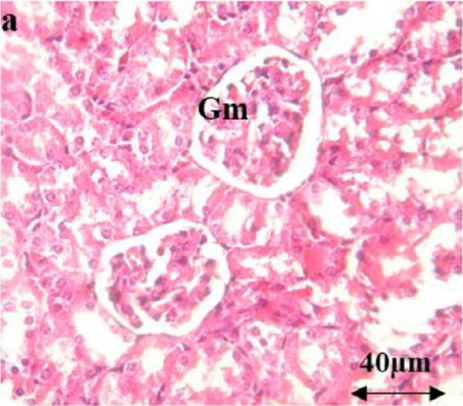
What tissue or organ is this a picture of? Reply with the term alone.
Kidney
